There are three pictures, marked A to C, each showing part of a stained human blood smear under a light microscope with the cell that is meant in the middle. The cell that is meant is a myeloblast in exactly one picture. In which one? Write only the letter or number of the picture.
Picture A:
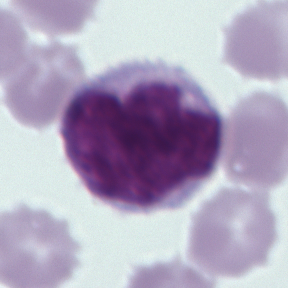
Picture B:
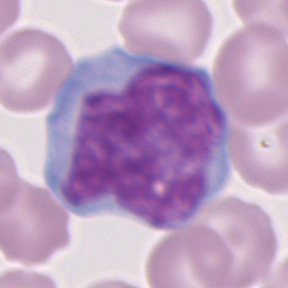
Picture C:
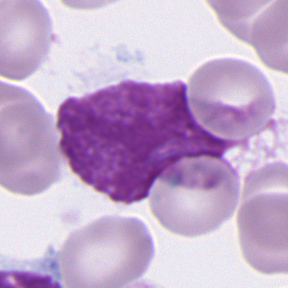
A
